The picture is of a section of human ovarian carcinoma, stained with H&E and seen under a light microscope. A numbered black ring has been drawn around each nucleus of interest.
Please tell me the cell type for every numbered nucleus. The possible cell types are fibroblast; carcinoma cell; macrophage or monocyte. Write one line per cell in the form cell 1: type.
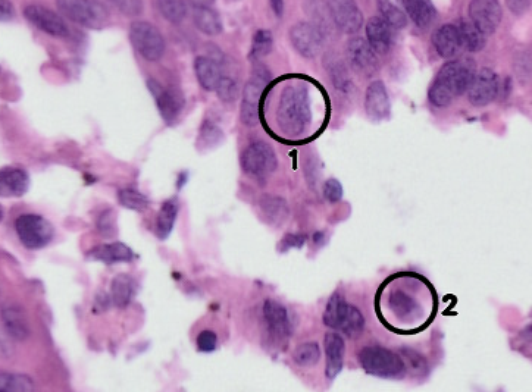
cell 1: carcinoma cell
cell 2: macrophage or monocyte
